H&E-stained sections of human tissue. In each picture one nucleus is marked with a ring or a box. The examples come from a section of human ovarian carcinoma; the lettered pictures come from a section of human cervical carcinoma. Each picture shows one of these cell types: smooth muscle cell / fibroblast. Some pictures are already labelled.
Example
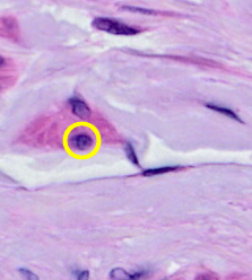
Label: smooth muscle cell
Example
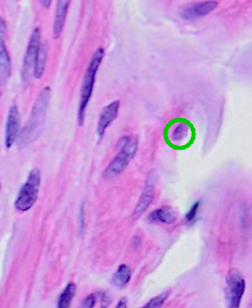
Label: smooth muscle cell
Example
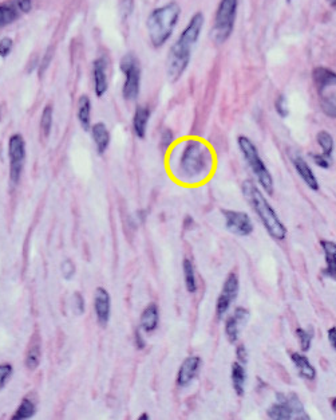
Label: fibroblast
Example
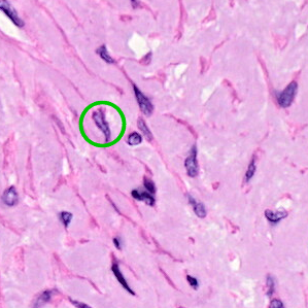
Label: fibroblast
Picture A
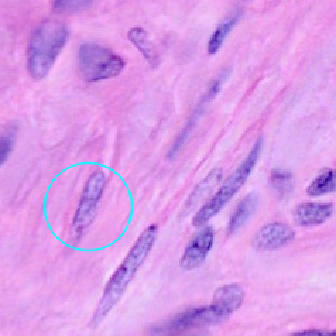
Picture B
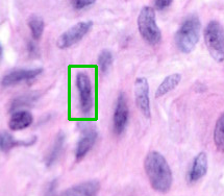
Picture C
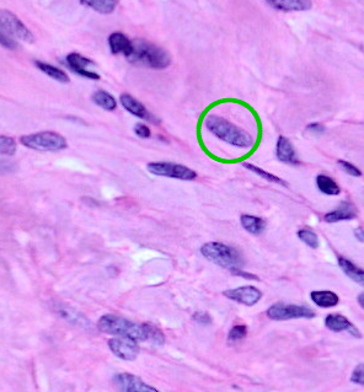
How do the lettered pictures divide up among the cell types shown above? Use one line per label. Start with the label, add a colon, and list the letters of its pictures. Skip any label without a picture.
smooth muscle cell: A
fibroblast: B, C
